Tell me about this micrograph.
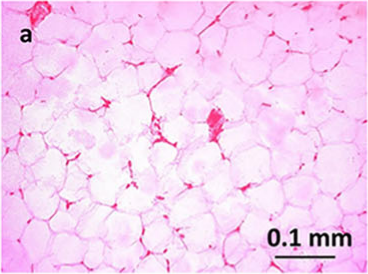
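This is adipose tissue in hematoxylin-eosin, made up of large polygonal adipocytes whose interiors look pale and empty, each outlined by a thin pink rim. The cells fit together like a honeycomb, with a few small pink strands of connective tissue or vessels lying between them.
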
